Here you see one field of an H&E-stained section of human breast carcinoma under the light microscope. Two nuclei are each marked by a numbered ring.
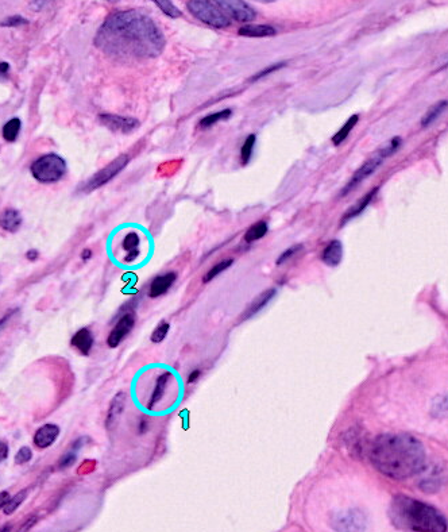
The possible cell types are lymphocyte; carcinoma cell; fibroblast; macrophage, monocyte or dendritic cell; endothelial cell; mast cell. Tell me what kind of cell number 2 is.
lymphocyte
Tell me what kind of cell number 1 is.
fibroblast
